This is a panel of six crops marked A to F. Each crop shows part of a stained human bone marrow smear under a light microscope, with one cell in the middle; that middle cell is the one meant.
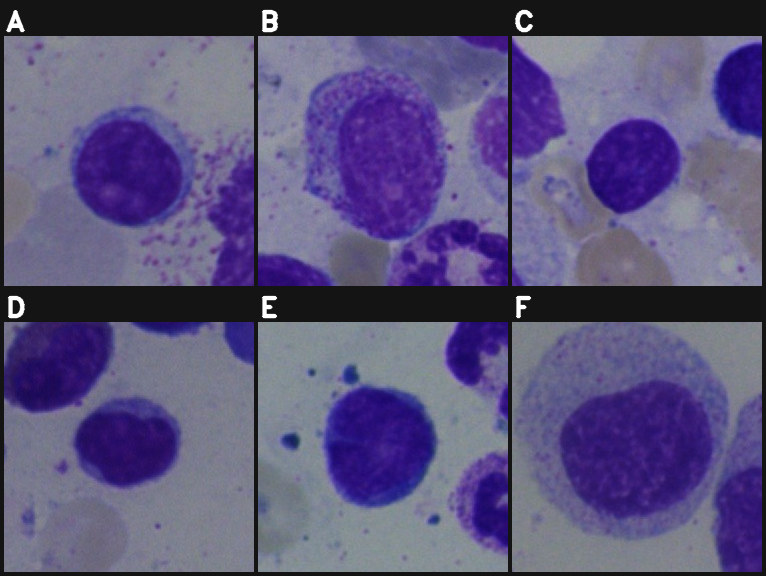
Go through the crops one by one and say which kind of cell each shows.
A: lymphocyte
B: myelocyte
C: lymphocyte
D: lymphocyte
E: blast
F: myelocyte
